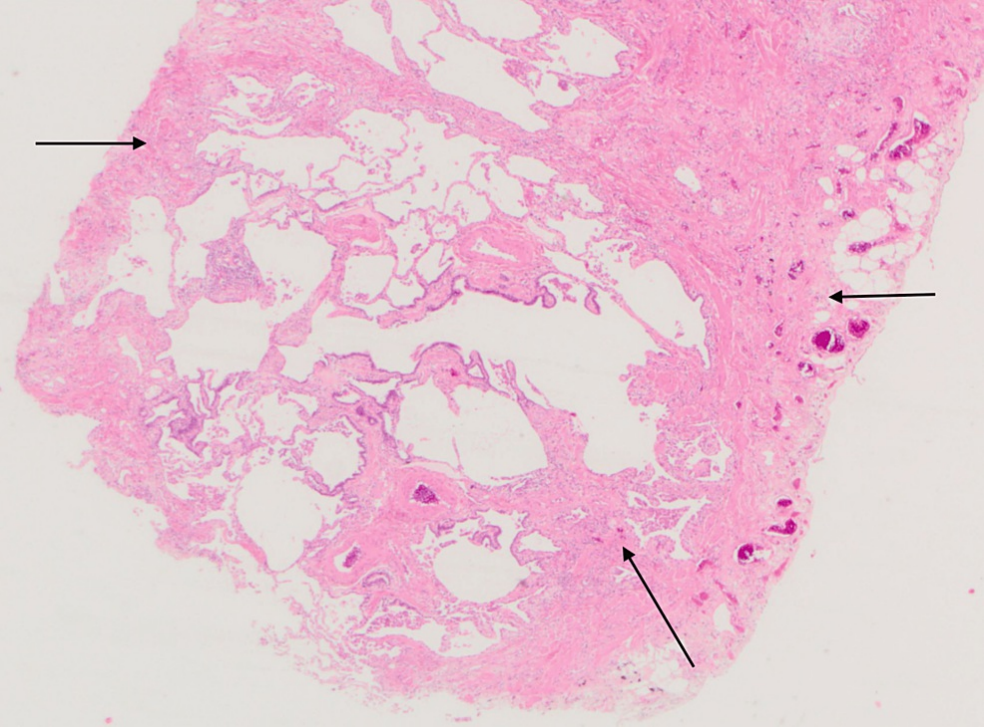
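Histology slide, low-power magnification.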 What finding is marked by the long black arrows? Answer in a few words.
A: Fibrosis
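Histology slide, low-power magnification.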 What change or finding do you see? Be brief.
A: Honeycombing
